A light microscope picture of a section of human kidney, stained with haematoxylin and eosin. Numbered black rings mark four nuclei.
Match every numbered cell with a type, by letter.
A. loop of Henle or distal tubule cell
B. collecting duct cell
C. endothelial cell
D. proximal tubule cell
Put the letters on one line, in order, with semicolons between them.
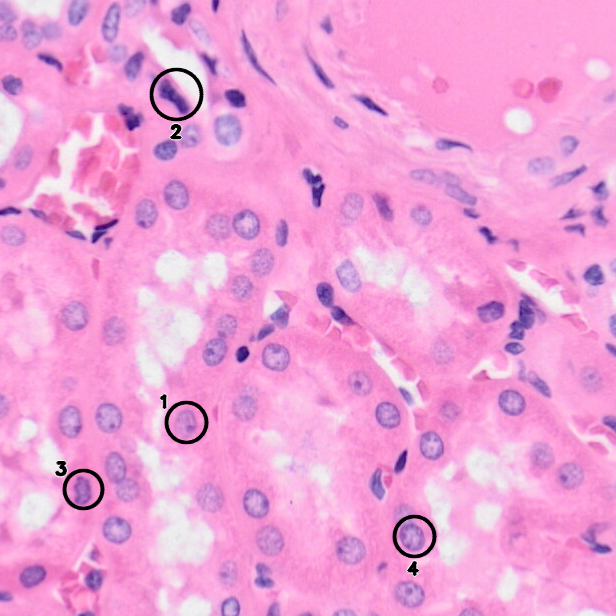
D; B; D; D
